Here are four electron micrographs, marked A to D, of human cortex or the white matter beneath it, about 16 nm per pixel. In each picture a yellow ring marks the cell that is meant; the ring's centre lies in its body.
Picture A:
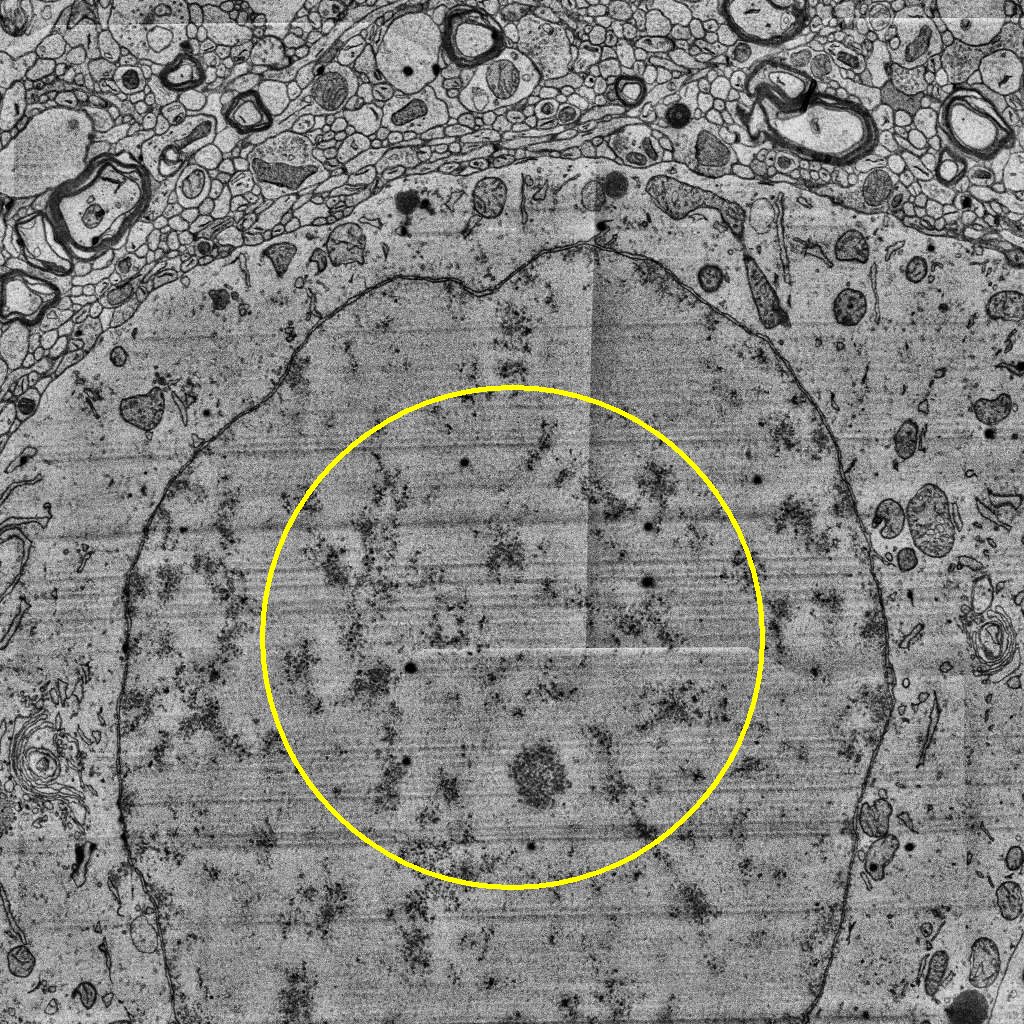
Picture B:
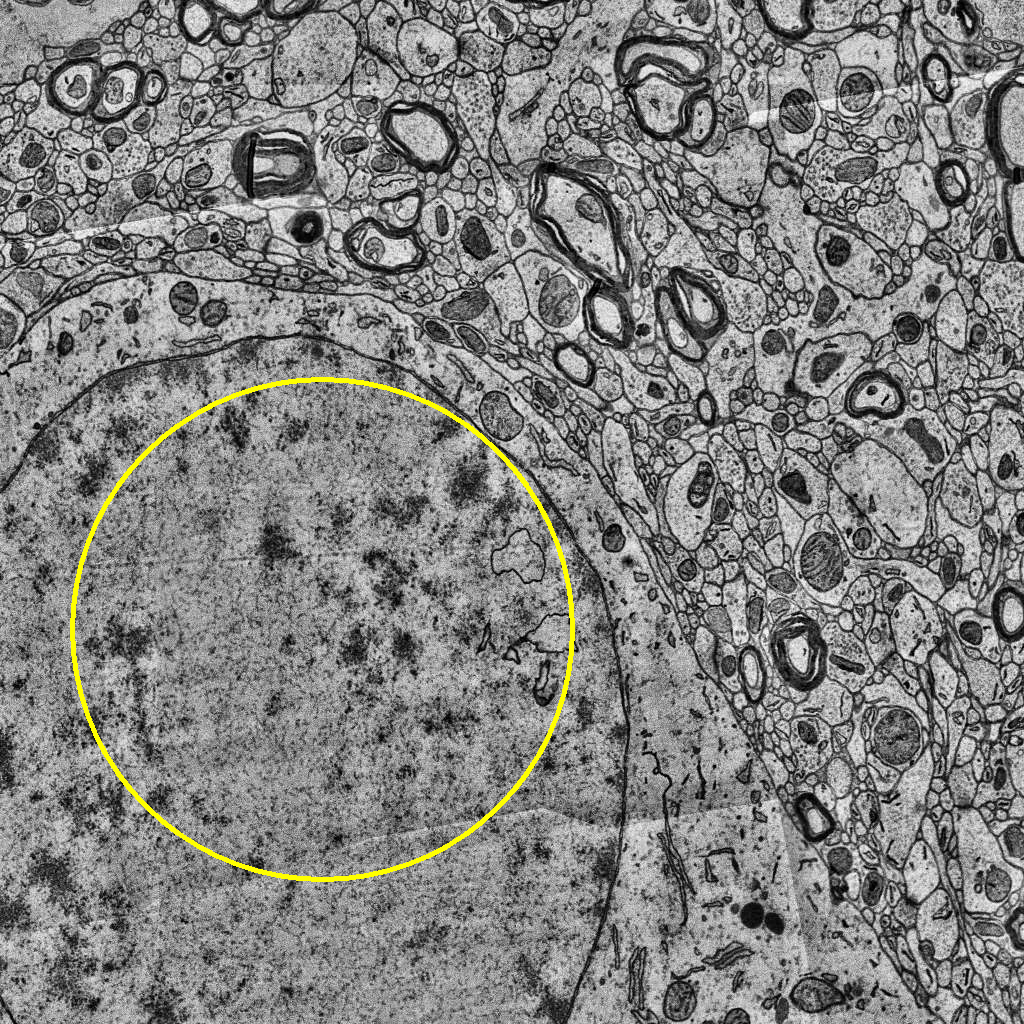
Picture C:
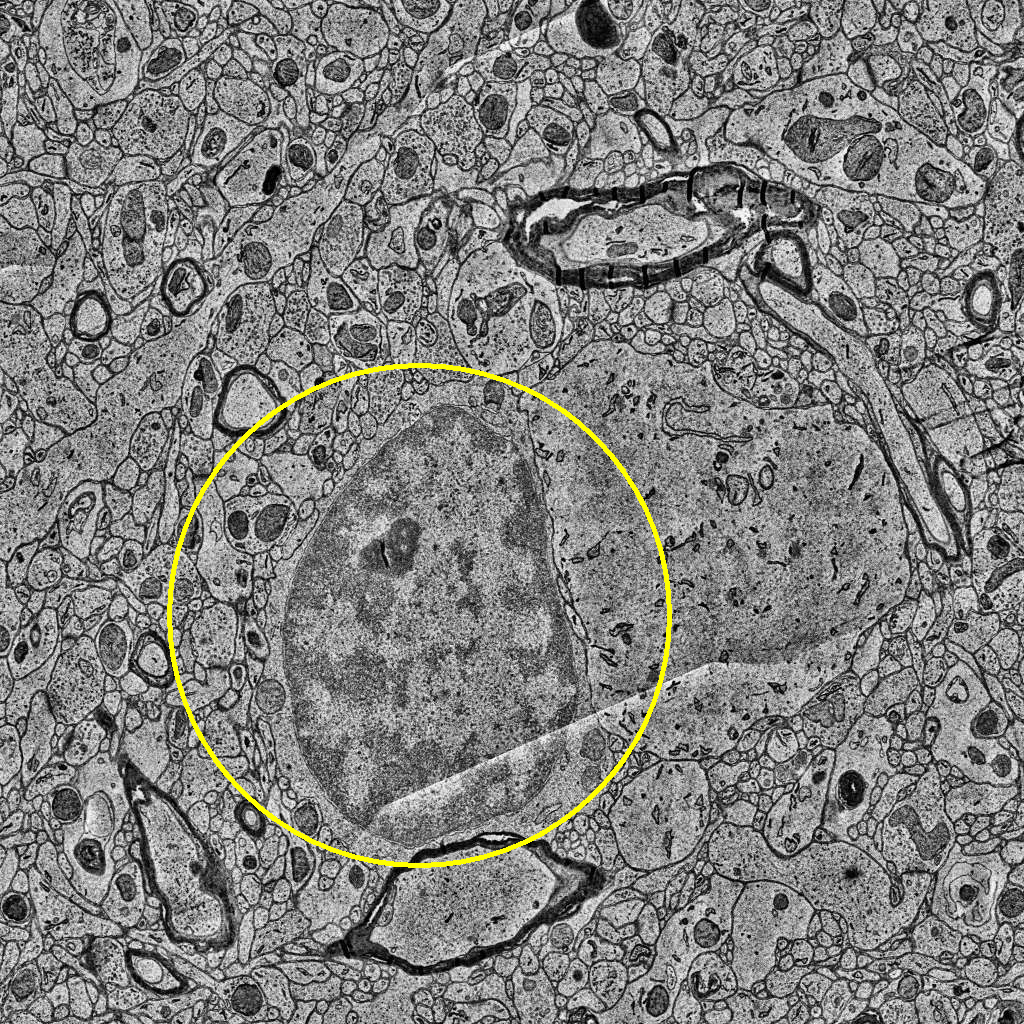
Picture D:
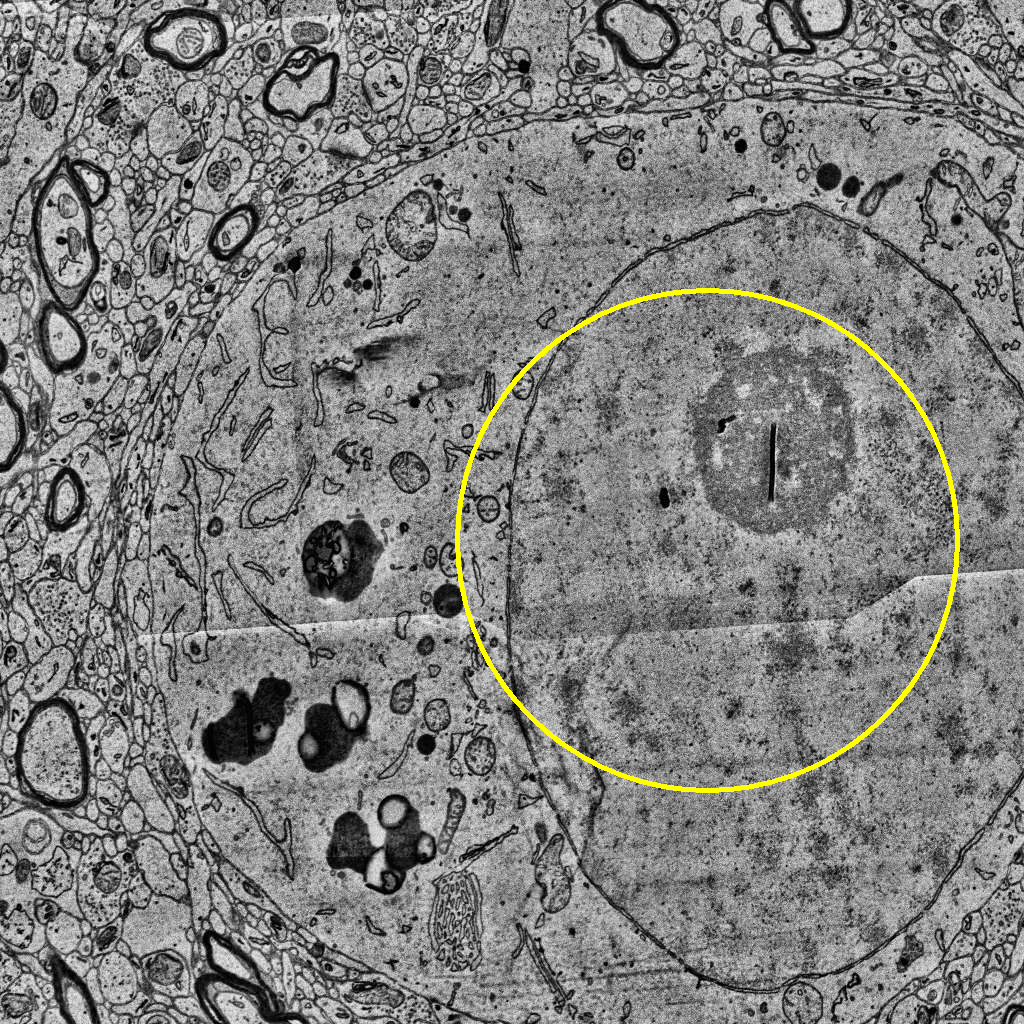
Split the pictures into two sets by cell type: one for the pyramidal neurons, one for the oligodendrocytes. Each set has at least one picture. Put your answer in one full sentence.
Pictures A, B and D show pyramidal neurons; picture C shows an oligodendrocyte.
